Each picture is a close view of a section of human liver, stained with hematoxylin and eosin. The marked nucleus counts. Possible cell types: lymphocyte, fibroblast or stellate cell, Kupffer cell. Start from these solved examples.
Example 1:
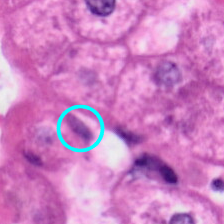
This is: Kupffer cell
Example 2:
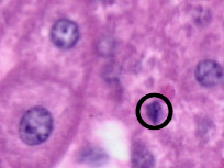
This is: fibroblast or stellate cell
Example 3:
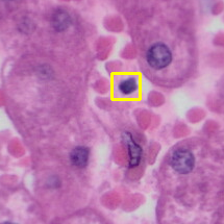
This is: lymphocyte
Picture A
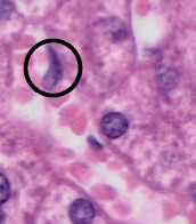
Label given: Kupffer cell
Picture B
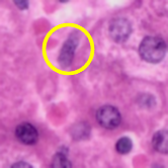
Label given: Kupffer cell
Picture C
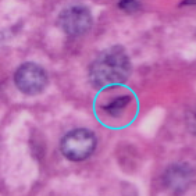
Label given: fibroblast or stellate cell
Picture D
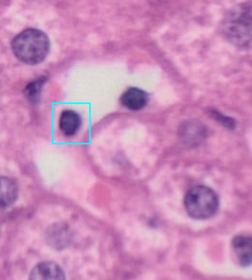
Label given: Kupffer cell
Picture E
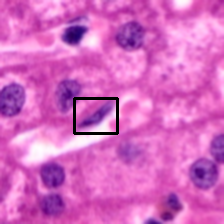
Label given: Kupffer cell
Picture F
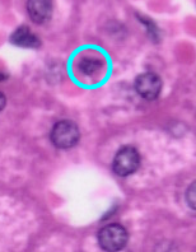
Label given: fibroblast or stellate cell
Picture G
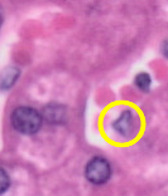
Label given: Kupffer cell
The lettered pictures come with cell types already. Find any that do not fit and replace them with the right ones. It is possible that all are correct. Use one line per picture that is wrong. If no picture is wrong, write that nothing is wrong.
D: change Kupffer cell to lymphocyte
